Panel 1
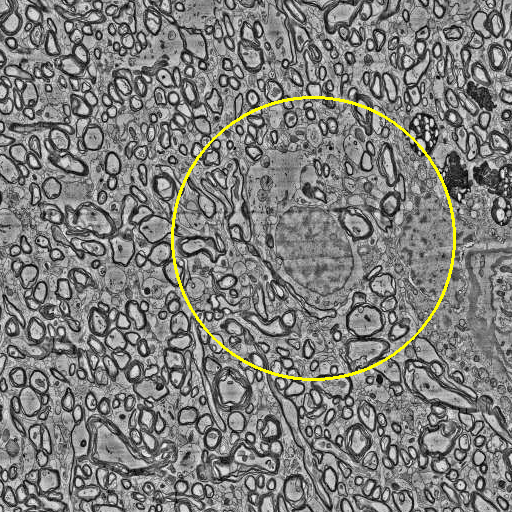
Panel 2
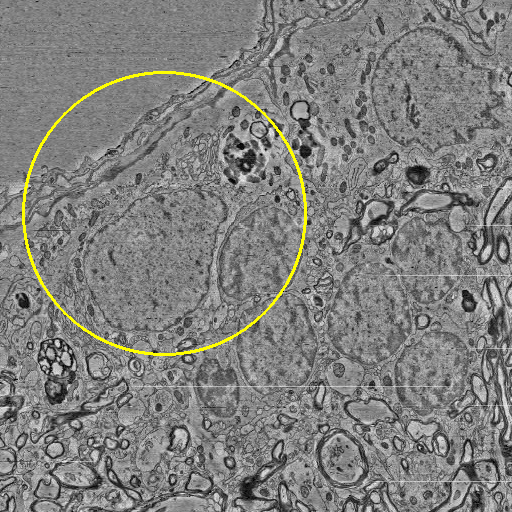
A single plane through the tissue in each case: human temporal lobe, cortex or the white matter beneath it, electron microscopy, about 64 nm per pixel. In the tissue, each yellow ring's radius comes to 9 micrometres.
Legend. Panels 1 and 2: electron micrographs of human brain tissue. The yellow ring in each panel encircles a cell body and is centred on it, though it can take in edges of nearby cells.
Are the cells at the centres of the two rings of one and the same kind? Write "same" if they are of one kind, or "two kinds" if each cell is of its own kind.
two kinds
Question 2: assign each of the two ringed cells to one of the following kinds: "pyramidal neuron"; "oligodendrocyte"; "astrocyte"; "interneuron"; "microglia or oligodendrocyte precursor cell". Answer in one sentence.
The two cells are an oligodendrocyte in the first picture and an astrocyte in the second.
